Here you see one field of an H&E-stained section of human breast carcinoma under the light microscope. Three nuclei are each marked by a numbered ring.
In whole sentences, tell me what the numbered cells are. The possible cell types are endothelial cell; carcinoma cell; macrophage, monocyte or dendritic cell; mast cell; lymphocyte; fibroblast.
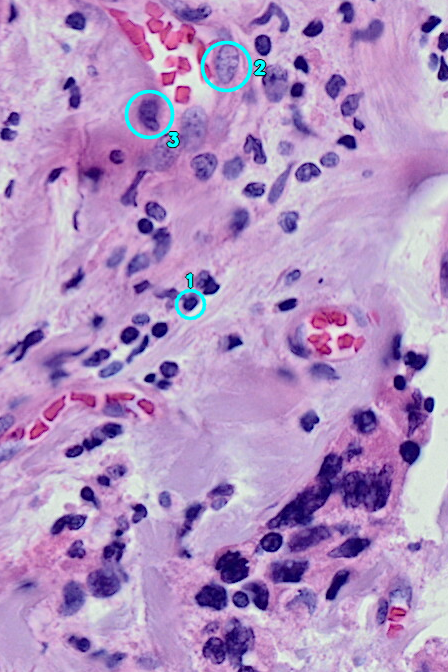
Cell 1 is a lymphocyte. Cells 2 and 3 are endothelial cells.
